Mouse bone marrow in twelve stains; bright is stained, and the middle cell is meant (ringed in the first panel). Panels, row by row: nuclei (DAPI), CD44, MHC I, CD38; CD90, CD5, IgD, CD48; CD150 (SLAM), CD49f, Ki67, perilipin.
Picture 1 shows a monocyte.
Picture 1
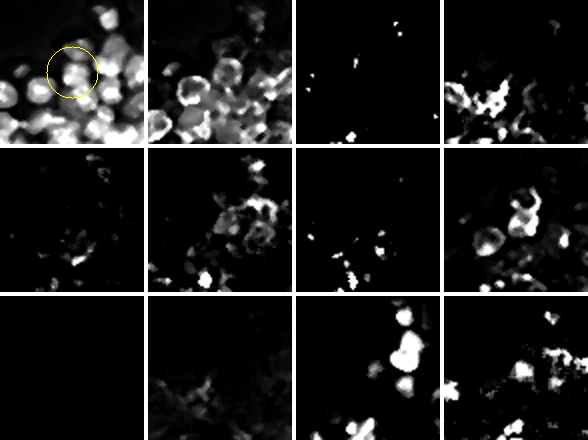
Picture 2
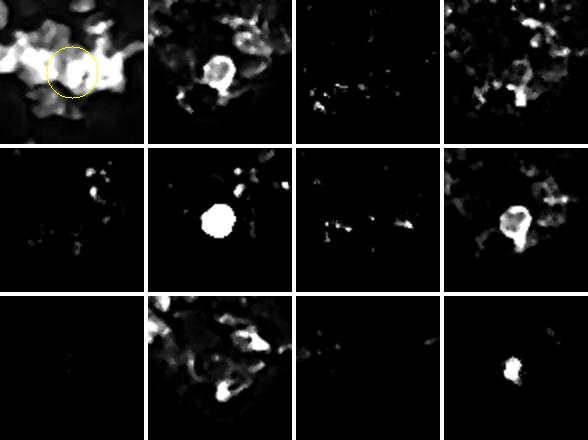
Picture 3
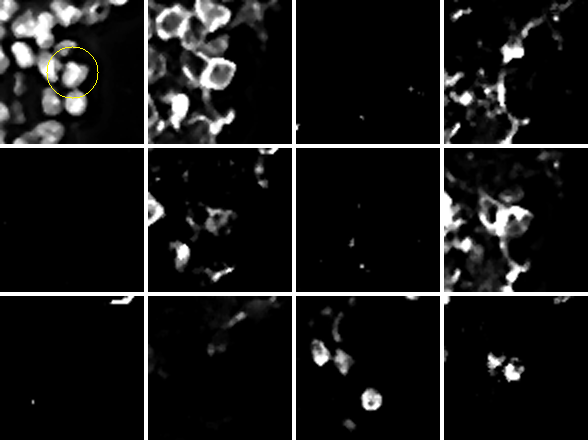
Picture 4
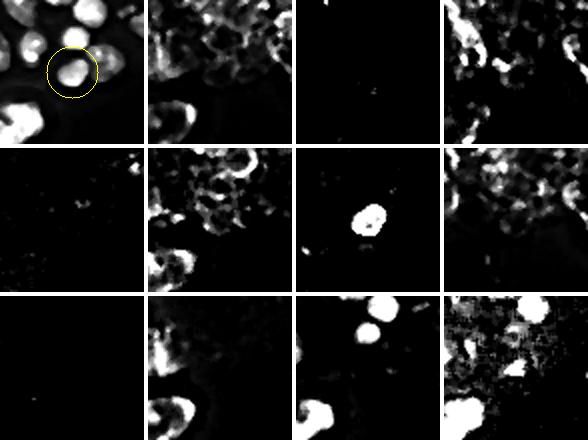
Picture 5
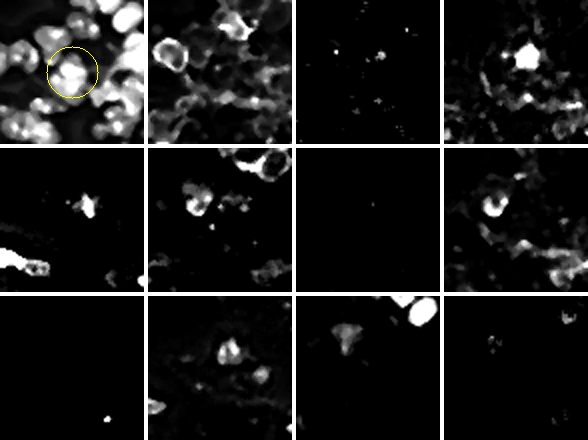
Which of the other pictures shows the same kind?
Picture 3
